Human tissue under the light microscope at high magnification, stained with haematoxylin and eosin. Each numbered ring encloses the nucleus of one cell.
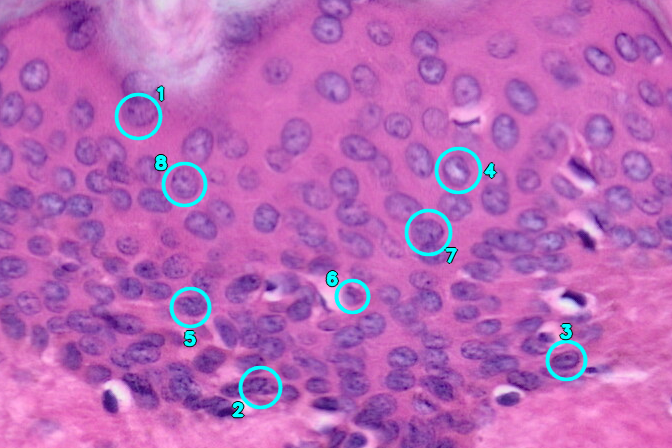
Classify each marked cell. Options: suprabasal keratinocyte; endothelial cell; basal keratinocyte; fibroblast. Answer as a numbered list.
1. suprabasal keratinocyte
2. basal keratinocyte
3. basal keratinocyte
4. suprabasal keratinocyte
5. basal keratinocyte
6. basal keratinocyte
7. suprabasal keratinocyte
8. suprabasal keratinocyte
